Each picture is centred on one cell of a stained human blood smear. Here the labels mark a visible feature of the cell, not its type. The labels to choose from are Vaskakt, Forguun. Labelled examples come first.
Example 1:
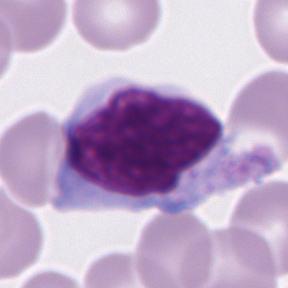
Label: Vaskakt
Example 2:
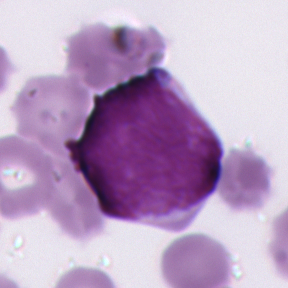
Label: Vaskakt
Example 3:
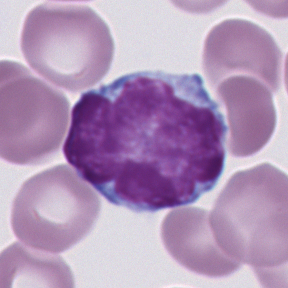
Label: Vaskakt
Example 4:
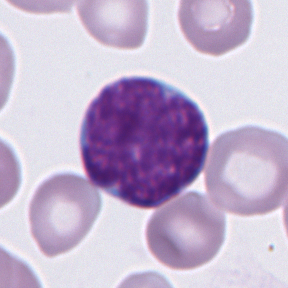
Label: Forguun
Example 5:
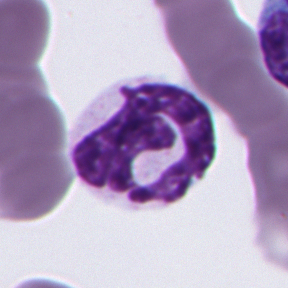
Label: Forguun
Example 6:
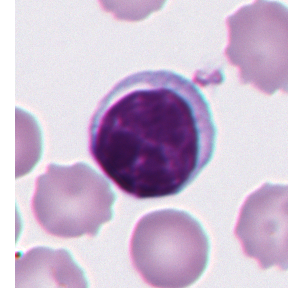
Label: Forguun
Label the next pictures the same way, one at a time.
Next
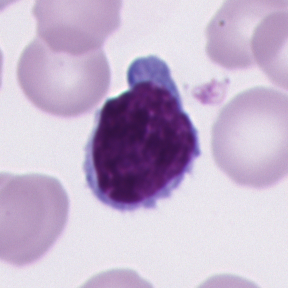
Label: Vaskakt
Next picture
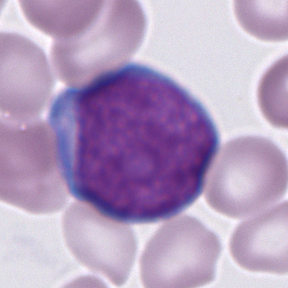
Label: Forguun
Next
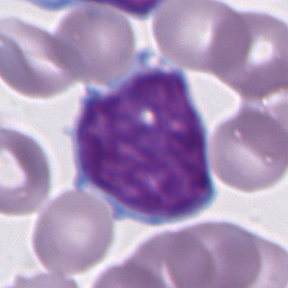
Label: Vaskakt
